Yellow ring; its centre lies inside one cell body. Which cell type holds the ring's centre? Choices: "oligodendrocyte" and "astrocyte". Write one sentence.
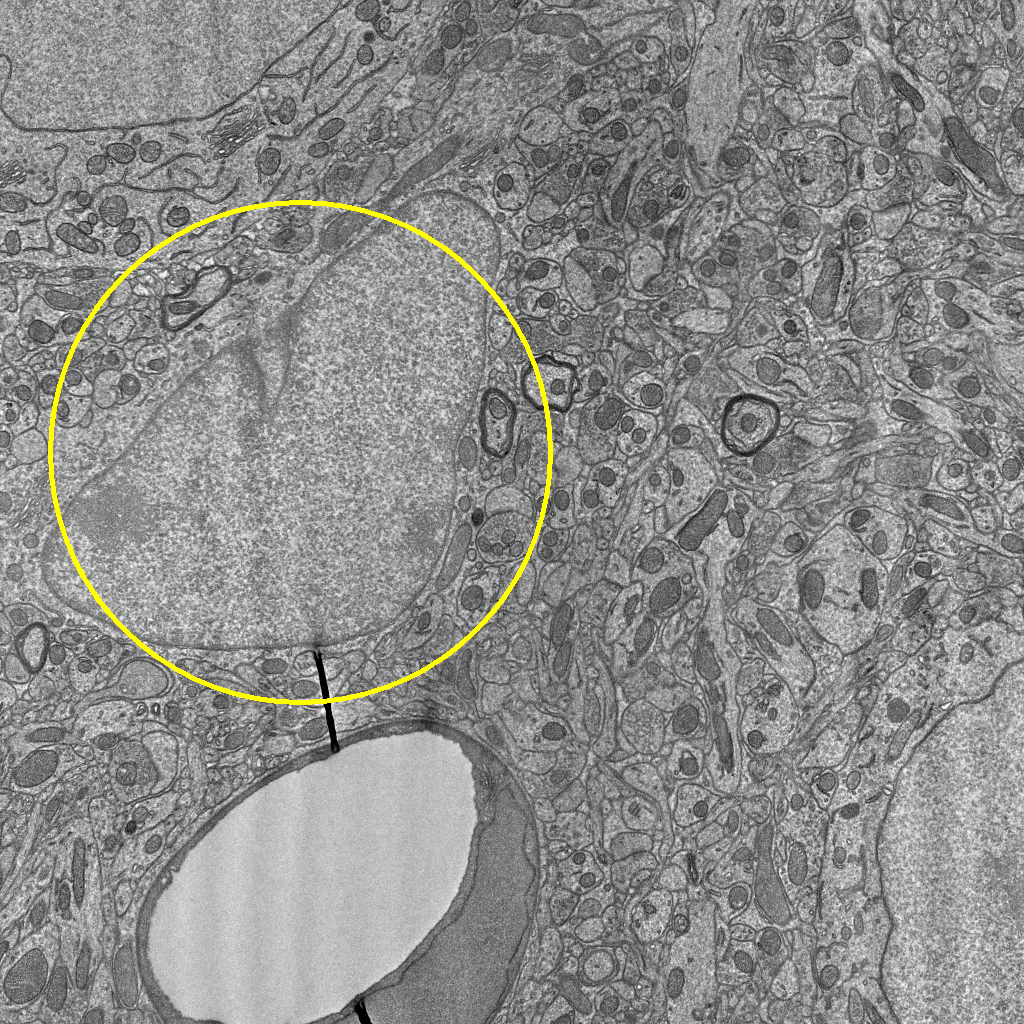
At the centre of the ring sits an astrocyte.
